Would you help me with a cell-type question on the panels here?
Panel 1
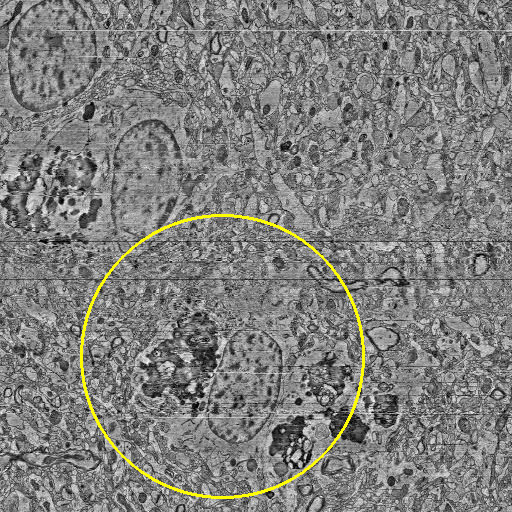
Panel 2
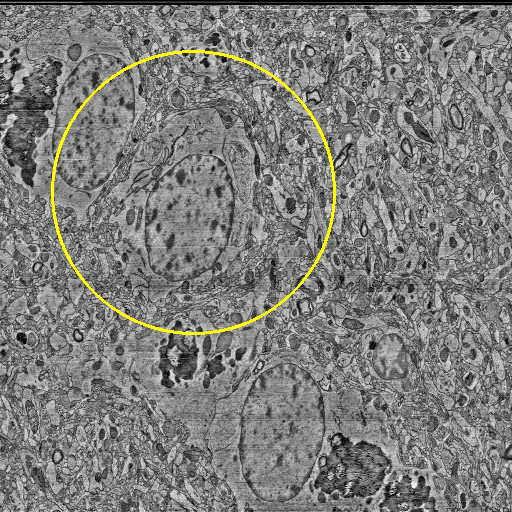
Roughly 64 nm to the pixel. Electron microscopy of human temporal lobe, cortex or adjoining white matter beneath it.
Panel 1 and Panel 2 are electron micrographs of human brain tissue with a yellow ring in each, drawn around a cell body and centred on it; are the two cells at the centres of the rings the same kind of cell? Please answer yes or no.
yes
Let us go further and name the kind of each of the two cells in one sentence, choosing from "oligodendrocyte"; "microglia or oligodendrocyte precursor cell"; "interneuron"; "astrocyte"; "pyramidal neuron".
Both pictures show an astrocyte at the centre of the ring.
